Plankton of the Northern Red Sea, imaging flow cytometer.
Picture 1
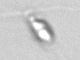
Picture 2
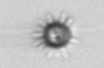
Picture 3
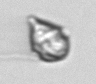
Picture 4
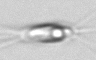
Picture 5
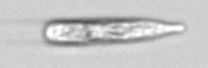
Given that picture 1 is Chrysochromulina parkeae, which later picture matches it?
4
